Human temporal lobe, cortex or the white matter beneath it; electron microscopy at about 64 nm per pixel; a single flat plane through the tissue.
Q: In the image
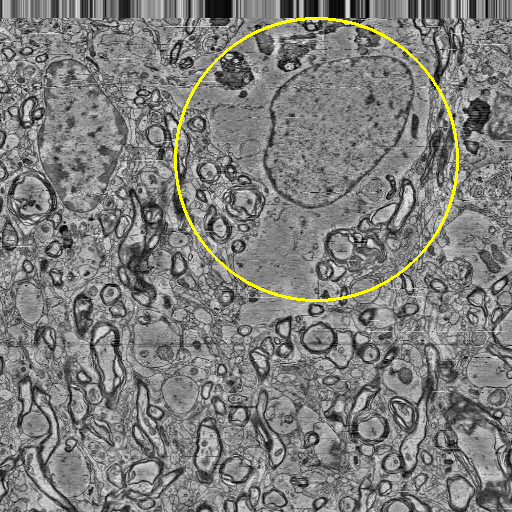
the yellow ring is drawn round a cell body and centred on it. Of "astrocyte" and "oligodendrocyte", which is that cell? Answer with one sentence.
The cell centred in the ring is an astrocyte.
